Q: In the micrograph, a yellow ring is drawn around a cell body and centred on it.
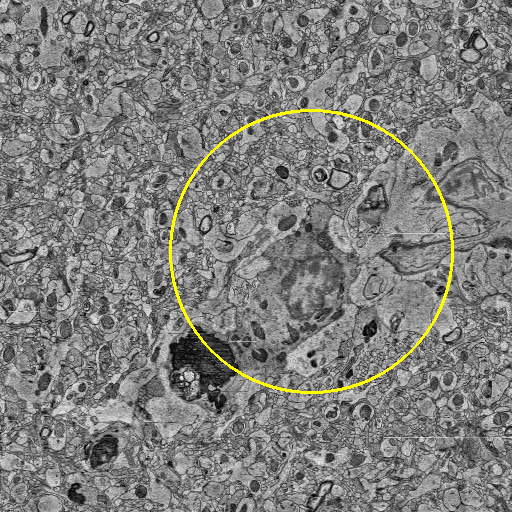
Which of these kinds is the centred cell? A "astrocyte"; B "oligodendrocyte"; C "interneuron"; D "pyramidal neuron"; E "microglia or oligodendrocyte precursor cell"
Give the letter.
B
